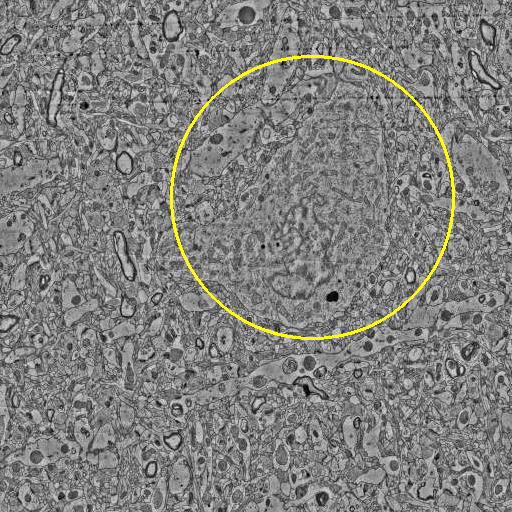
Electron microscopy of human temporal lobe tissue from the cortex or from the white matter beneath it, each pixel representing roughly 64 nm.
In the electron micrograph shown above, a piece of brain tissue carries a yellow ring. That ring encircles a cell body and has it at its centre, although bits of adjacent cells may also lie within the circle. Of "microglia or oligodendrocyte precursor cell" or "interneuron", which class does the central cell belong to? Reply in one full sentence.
The cell body at the centre of the yellow ring belongs to an interneuron.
